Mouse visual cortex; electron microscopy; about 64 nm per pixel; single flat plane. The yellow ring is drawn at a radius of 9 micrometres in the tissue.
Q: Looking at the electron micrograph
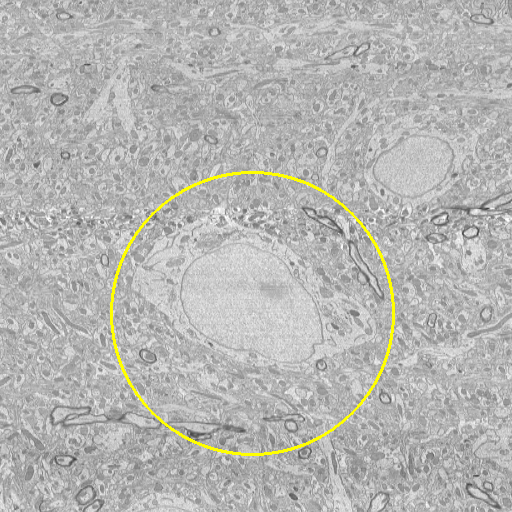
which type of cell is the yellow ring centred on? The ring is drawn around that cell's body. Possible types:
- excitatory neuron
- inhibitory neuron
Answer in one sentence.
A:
The yellow ring is centred on an excitatory neuron.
